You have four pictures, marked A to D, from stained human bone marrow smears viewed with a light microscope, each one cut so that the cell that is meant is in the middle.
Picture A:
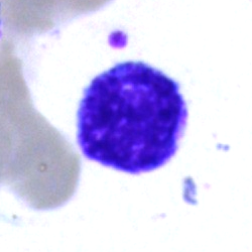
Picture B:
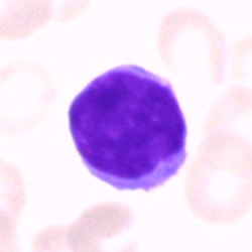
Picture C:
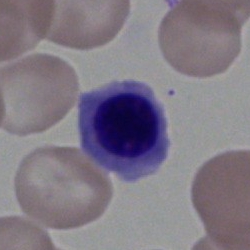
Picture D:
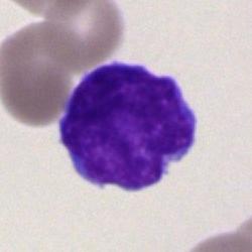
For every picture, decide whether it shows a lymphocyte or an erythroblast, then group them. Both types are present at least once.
A: lymphocyte
B: lymphocyte
C: erythroblast
D: lymphocyte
